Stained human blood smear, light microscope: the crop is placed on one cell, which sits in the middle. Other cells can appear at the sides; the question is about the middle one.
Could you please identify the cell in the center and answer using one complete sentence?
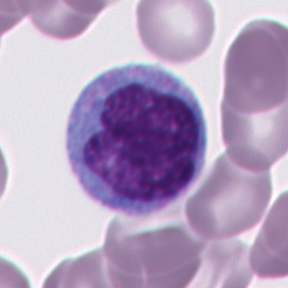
To answer, the cell in the center of the crop is a monocyte.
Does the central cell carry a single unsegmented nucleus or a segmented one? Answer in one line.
Please observe that the nucleus consists of one compact round, oval or kidney-shaped mass.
